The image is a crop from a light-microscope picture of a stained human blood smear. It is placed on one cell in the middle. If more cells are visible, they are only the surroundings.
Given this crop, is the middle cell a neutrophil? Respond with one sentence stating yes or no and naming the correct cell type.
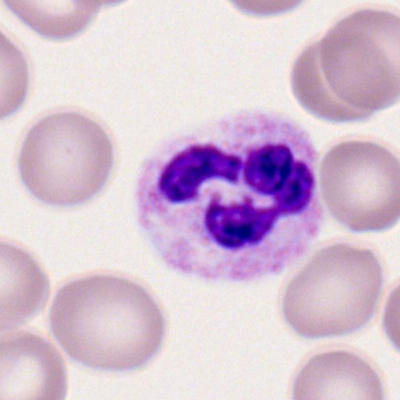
Yes, the cell in the middle is rightly called a neutrophil.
